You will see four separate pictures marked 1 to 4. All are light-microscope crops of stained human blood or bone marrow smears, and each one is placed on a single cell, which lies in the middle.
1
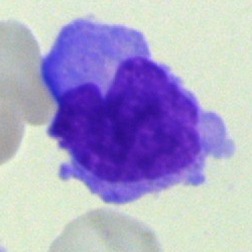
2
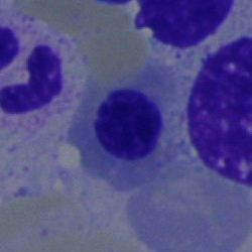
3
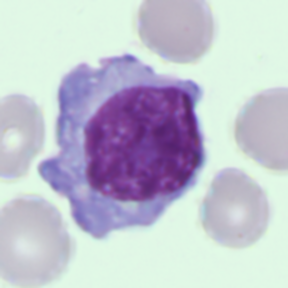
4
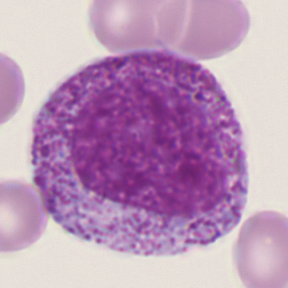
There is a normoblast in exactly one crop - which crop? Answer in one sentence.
Crop 2 is the one depicting a normoblast.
